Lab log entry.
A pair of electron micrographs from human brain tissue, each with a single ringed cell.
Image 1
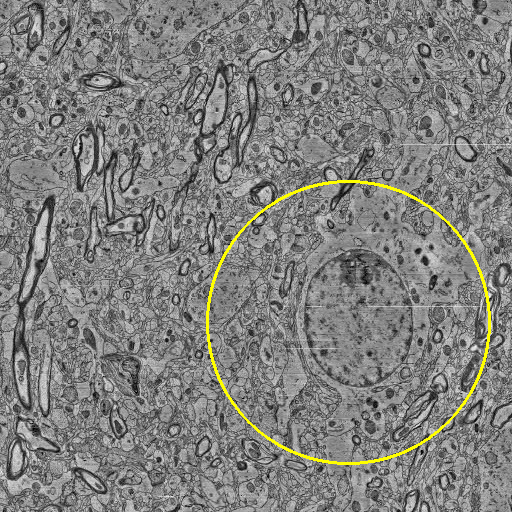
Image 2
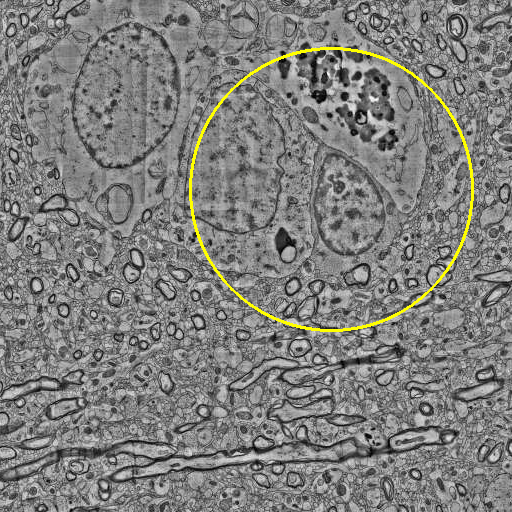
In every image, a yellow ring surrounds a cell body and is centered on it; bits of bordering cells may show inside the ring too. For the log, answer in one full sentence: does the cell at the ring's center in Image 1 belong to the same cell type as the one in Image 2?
No, the cells at the ring centers in Image 1 and Image 2 are of separate types.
